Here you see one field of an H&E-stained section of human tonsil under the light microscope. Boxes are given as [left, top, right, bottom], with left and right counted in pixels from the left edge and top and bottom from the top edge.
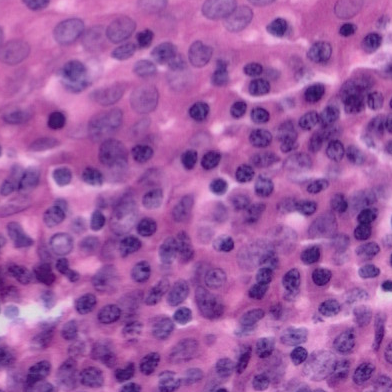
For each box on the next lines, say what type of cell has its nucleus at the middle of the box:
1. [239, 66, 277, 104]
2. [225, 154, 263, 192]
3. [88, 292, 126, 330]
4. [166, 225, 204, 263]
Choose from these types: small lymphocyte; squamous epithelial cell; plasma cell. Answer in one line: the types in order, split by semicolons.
plasma cell; plasma cell; plasma cell; squamous epithelial cell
